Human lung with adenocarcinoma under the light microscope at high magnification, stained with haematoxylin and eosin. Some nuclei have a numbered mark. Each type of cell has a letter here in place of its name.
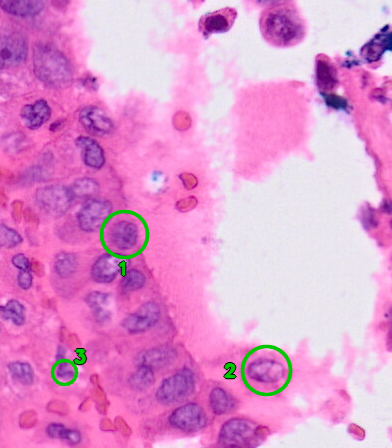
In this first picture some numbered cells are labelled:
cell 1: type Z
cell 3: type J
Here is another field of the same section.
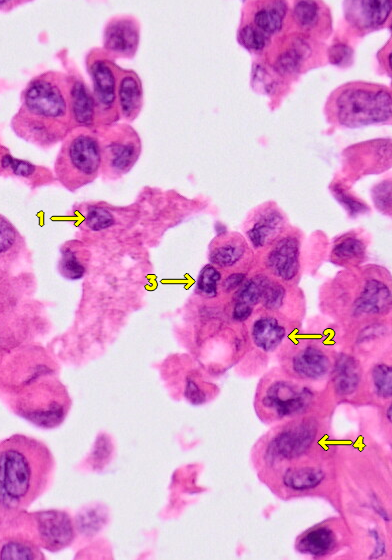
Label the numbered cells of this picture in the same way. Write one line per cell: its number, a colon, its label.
1: type J
2: type Z
3: type Z
4: type Z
